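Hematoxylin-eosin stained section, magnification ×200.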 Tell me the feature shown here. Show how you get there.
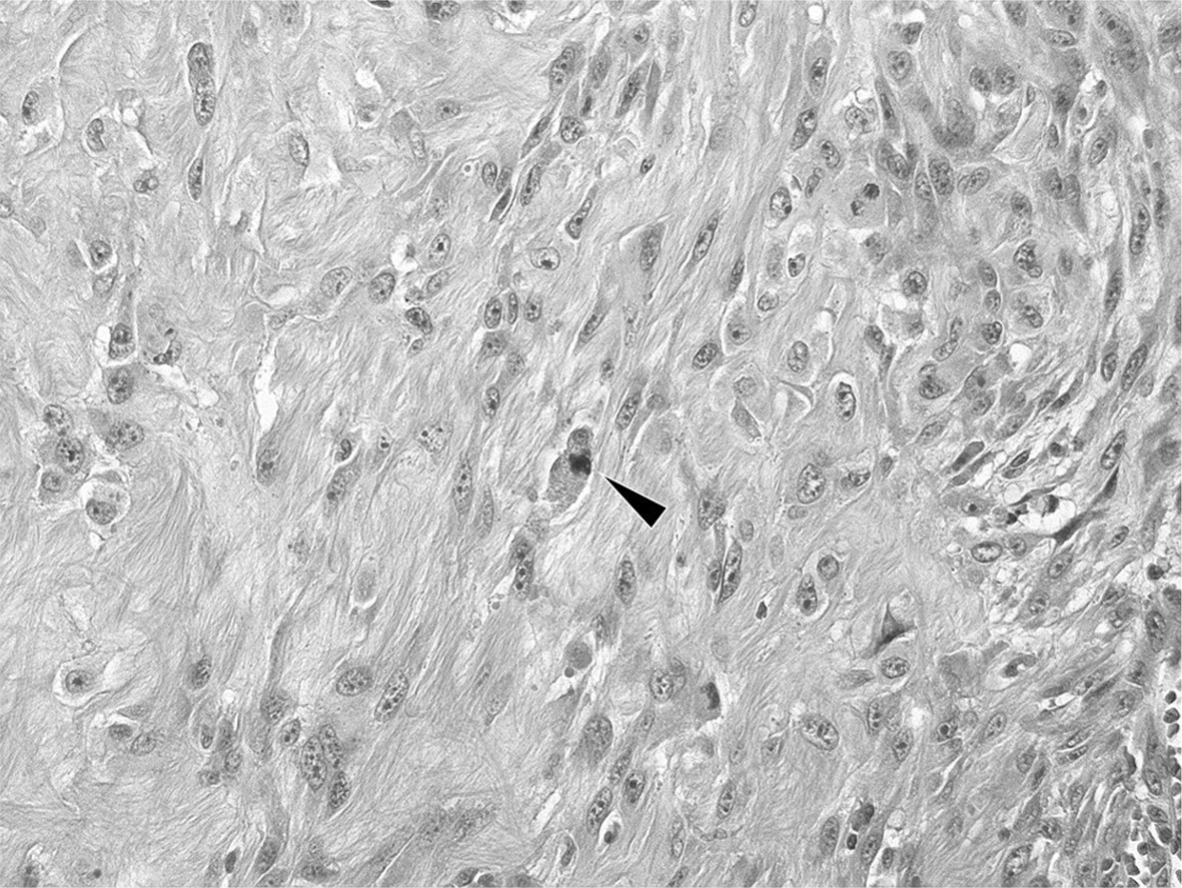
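Elongated cells run in loose parallel bundles, mostly diagonally across the field. The bundles have no sharp borders and blend into the surrounding cells. So: ill-defined fascicles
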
